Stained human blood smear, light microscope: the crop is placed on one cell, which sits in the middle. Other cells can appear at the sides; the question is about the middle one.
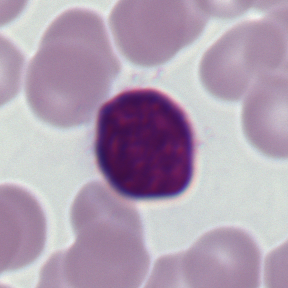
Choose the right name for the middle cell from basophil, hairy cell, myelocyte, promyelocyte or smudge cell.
smudge cell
